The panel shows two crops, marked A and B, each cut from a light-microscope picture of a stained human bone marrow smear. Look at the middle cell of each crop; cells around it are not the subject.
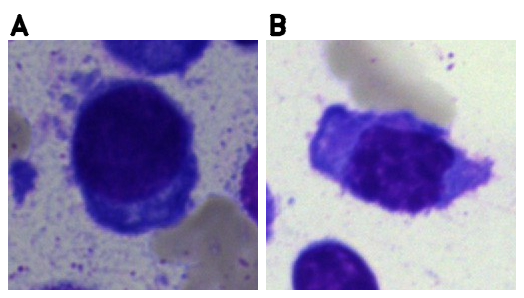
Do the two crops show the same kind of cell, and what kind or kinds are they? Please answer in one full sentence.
Yes, both crops depict plasma cells at the centre.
